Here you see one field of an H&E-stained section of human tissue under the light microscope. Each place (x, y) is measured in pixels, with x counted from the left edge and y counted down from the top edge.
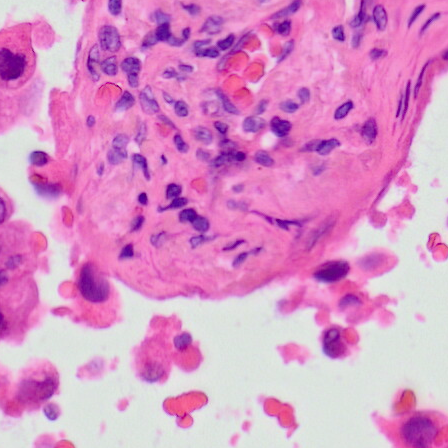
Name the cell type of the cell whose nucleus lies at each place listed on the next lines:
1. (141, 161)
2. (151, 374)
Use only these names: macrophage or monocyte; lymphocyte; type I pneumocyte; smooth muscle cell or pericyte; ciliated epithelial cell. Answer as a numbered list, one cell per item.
1. lymphocyte
2. macrophage or monocyte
